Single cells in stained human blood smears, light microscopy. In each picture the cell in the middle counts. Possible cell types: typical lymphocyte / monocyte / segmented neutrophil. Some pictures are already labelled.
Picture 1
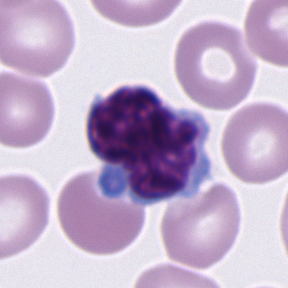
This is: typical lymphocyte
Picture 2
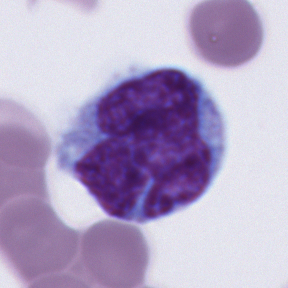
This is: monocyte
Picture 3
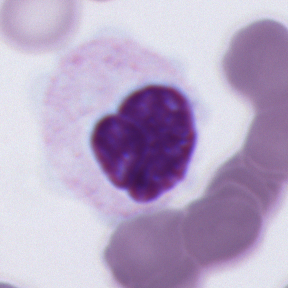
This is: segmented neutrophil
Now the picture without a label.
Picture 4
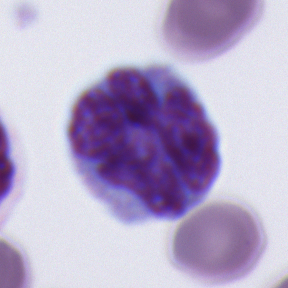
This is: monocyte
